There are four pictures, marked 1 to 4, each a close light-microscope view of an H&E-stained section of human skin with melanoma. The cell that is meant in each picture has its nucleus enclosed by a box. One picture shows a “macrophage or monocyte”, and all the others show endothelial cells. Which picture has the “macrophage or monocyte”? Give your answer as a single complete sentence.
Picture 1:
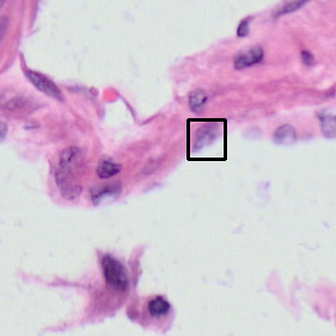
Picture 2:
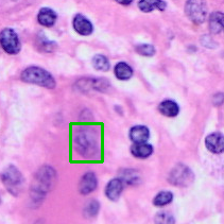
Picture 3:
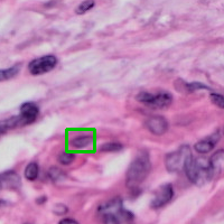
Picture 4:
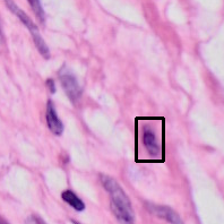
The “macrophage or monocyte” is the one in picture 4.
